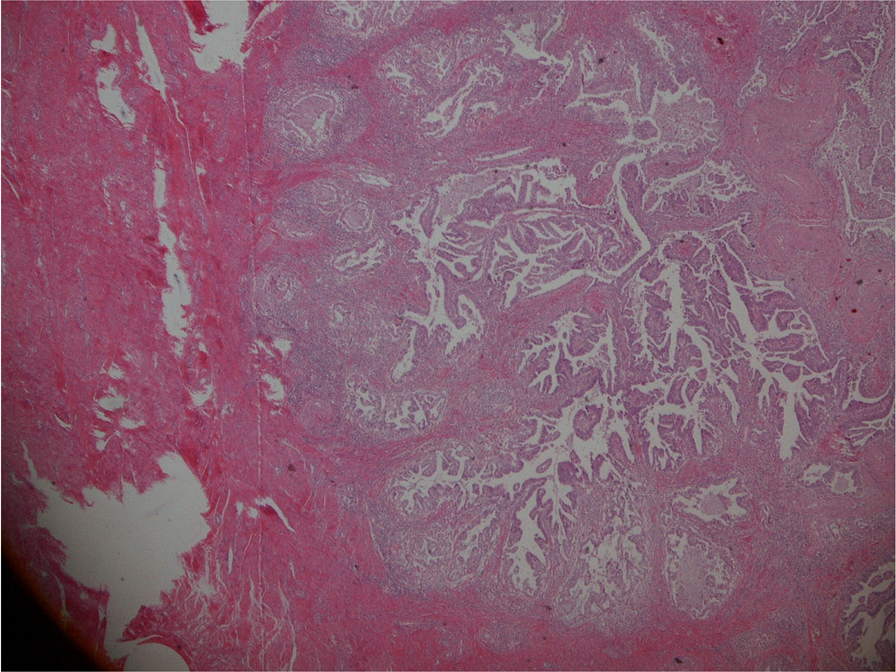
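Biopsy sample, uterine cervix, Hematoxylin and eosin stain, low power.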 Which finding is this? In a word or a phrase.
adenocarcinoma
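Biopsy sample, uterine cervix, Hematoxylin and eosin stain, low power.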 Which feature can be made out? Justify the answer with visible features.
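Branching, finger-like epithelial fronds project into slit-like lumens. Tubular glandular spaces are packed closely together. Lumens form a complex, branching network of white spaces. On this evidence: dense papillary or tubular growth pattern.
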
